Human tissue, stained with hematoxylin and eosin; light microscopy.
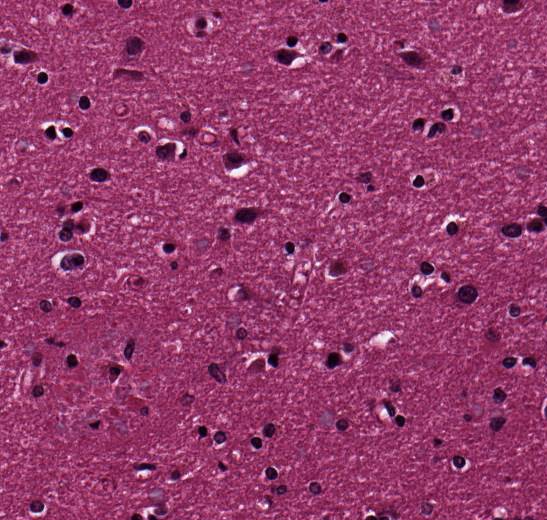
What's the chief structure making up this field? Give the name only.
cerebral cortex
